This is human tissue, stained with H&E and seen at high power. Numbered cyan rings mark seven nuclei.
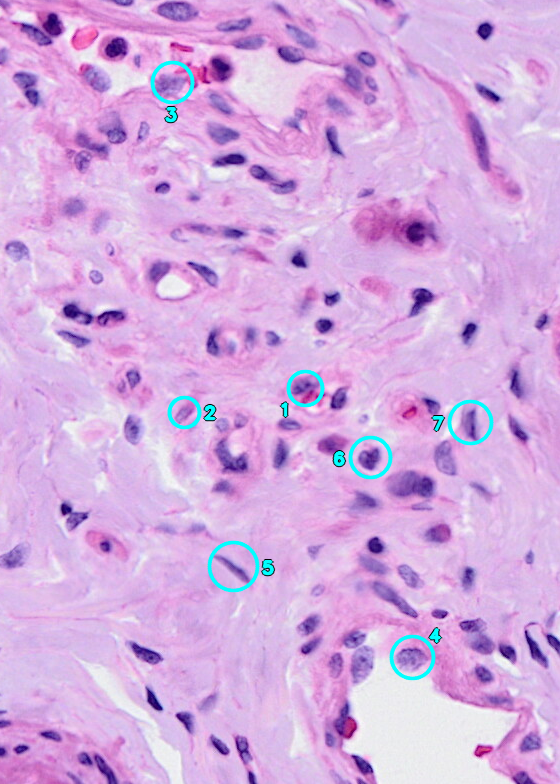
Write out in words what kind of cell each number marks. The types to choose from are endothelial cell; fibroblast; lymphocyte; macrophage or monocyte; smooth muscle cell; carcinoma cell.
Cell 1 is an endothelial cell, cell 2 is a smooth muscle cell, cell 3 is an endothelial cell, cell 4 is an endothelial cell, cell 5 is a fibroblast, cell 6 is a lymphocyte and cell 7 is a fibroblast.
